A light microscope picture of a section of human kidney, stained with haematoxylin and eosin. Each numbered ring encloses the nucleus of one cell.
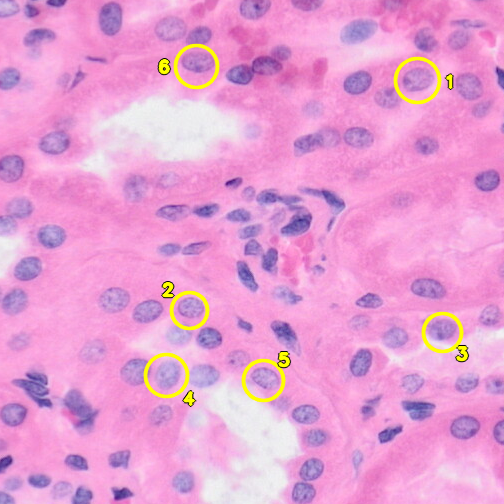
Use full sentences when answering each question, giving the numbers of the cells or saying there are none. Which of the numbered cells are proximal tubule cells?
In this section, the cells labelled 1 and 6 are proximal tubule cells.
